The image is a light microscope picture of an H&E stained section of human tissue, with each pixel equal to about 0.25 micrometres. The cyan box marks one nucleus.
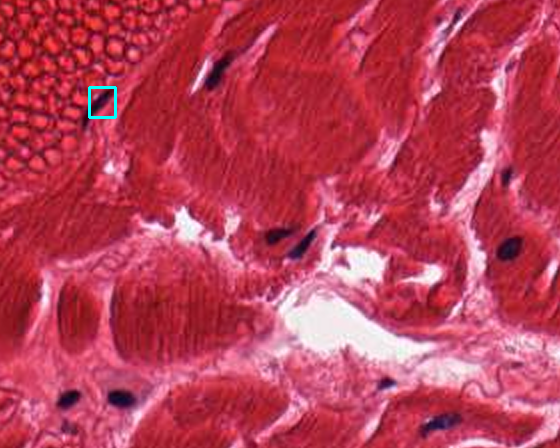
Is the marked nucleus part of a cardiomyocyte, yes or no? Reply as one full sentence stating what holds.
No, the marked nucleus sits in a supporting cell; a cardiomyocyte does not contain it.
